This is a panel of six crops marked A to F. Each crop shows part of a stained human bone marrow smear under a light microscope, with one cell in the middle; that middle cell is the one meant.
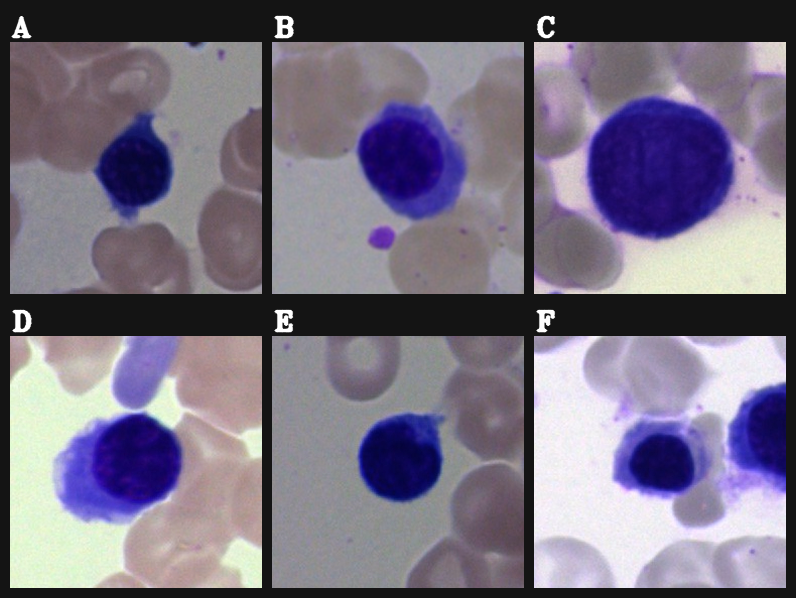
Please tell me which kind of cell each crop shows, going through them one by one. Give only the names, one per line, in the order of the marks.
lymphocyte
erythroblast
blast
erythroblast
lymphocyte
erythroblast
